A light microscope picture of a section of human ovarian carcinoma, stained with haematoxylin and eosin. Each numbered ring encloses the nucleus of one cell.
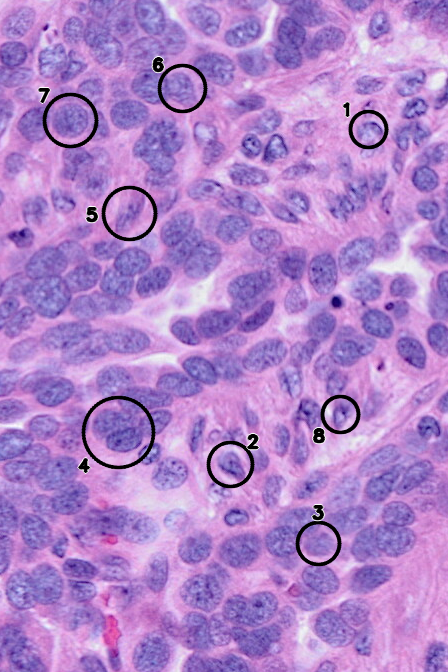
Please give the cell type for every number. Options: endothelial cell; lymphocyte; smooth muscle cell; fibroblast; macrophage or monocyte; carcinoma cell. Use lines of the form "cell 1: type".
cell 1: fibroblast
cell 2: fibroblast
cell 3: carcinoma cell
cell 4: carcinoma cell
cell 5: fibroblast
cell 6: carcinoma cell
cell 7: carcinoma cell
cell 8: fibroblast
